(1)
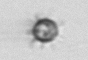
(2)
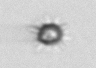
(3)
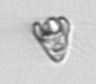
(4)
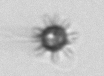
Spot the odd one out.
Picture 3 (Pyramimonas among Rhabdosphaera).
